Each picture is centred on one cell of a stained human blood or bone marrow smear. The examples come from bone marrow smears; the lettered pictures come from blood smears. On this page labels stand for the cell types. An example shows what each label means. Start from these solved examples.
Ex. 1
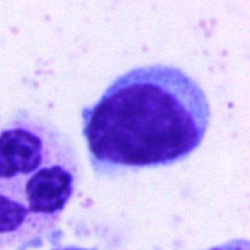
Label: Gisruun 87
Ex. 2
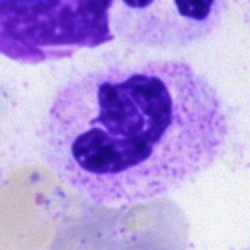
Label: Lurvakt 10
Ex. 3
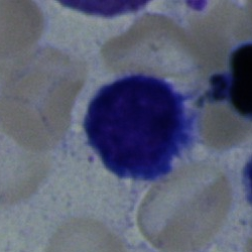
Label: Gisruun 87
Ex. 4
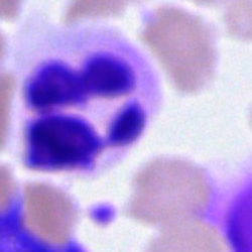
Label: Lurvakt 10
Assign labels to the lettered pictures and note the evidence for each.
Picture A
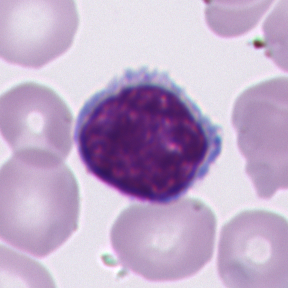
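Gisruun 87: The cytoplasm forms only a narrow rim around the nucleus.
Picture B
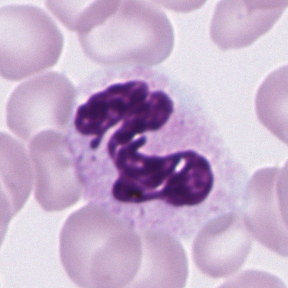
Lurvakt 10: The nucleus is twisted into an S-like shape of connected lobes.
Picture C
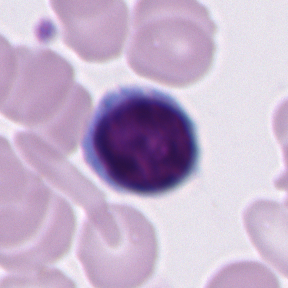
Gisruun 87: The cytoplasm forms only a thin rim around the nucleus.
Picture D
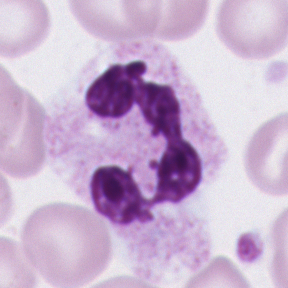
Lurvakt 10: The cytoplasm is abundant and pale pinkish-lilac.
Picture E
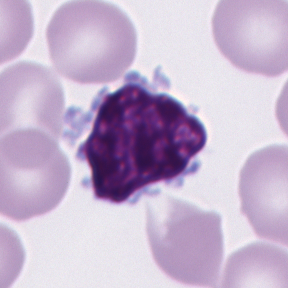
Gisruun 87: The nucleus fills almost the whole cell, leaving only a very thin rim of cytoplasm.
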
